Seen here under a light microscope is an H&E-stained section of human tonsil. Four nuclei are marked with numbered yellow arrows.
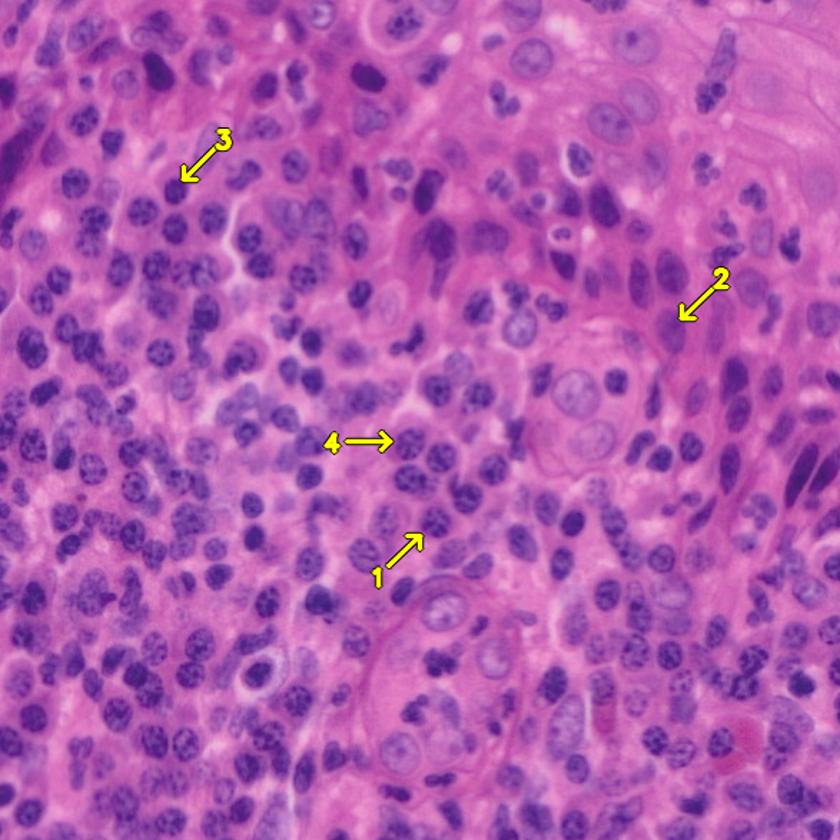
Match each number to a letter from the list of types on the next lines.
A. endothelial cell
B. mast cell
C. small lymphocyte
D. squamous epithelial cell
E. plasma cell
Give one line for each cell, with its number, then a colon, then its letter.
1: E
2: D
3: E
4: E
